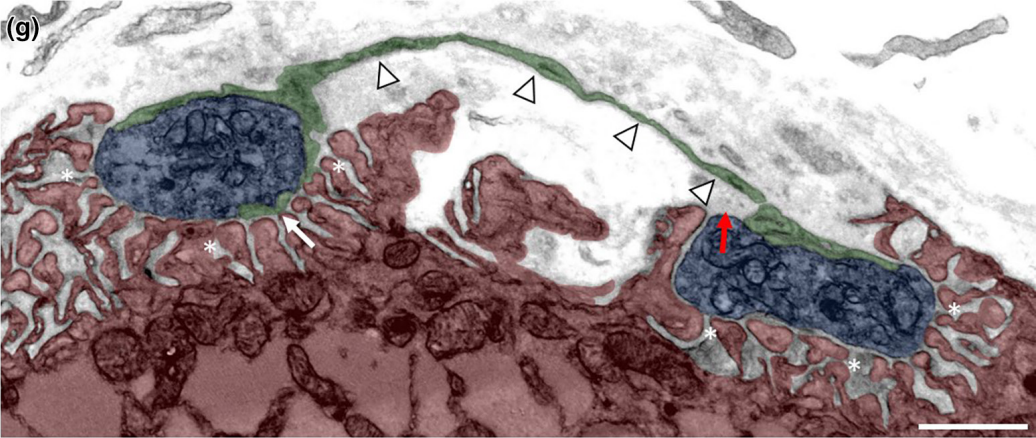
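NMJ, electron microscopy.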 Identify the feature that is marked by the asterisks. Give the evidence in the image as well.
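Postsynaptic area. The asterisks sit among irregular finger-like folds of the muscle surface. The folds border the two vesicle-filled terminals.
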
